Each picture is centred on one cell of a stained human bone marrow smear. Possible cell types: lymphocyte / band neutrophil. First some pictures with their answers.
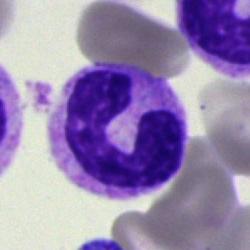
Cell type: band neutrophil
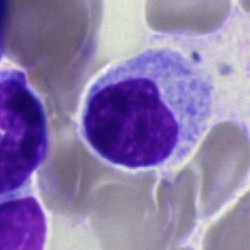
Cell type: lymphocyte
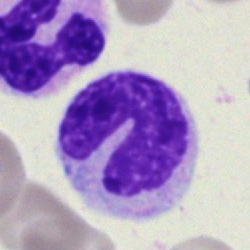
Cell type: band neutrophil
